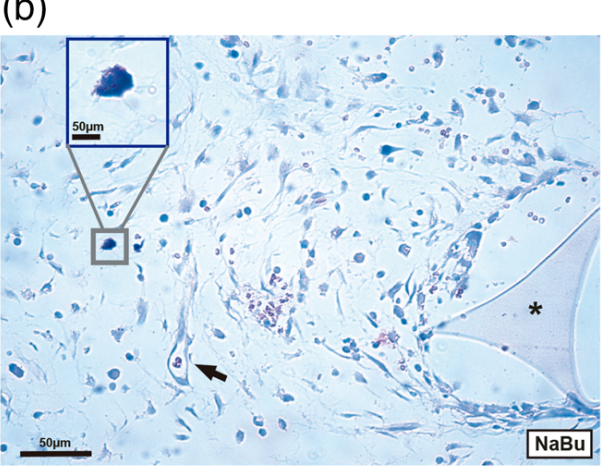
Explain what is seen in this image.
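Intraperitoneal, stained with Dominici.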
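Section of implant tissue that is loosely cellular, with scattered spindle-shaped and small rounded cells with blue nuclei in a pale light-blue background. A single compact mast cell with dark blue-violet granular cytoplasm is shown enlarged in the inset. Near the centre a small cluster of pinkish-red bodies lies among the cells, and an arrow points to an elongated outlined structure containing a few such bodies.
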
